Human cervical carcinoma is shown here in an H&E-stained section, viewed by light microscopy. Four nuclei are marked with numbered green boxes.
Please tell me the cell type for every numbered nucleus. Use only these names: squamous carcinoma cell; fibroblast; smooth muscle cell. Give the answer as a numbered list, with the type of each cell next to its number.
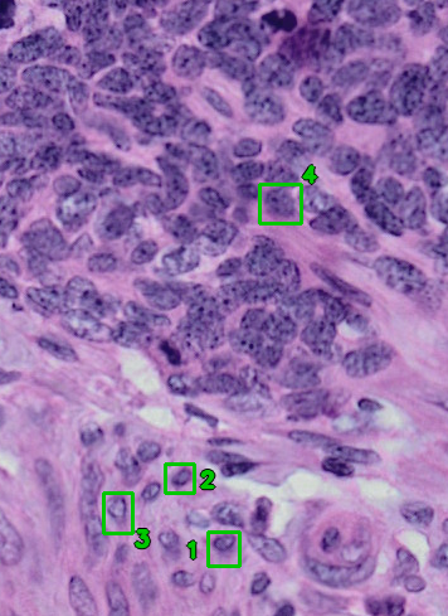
1. smooth muscle cell
2. smooth muscle cell
3. smooth muscle cell
4. squamous carcinoma cell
